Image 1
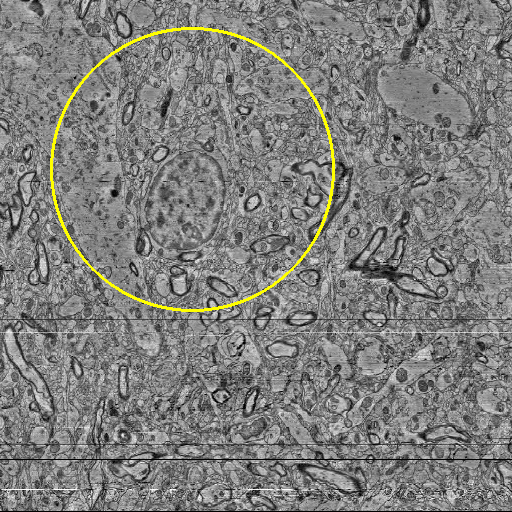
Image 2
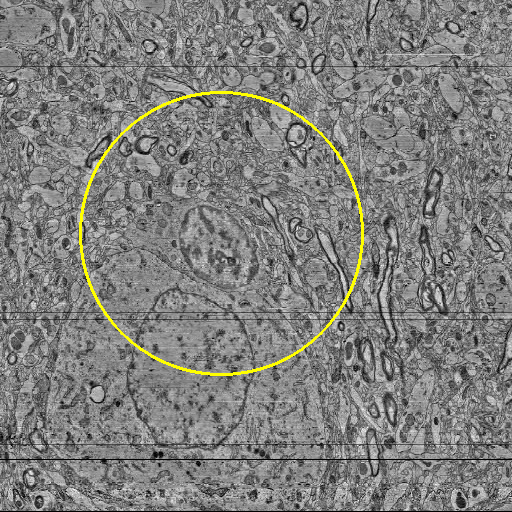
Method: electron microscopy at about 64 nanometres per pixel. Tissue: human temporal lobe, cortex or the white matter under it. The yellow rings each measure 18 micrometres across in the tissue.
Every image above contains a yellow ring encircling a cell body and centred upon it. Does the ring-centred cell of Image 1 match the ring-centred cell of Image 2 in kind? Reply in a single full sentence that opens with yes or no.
Yes, the cell at the ring's centre in Image 1 is the same kind as that in Image 2.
